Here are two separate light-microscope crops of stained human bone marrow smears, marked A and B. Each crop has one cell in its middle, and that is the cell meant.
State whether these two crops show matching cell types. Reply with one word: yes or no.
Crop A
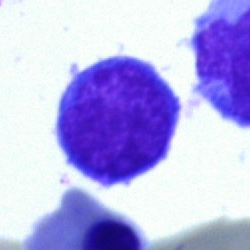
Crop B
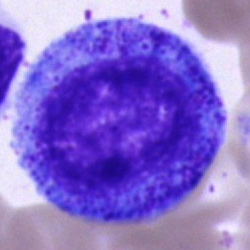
no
